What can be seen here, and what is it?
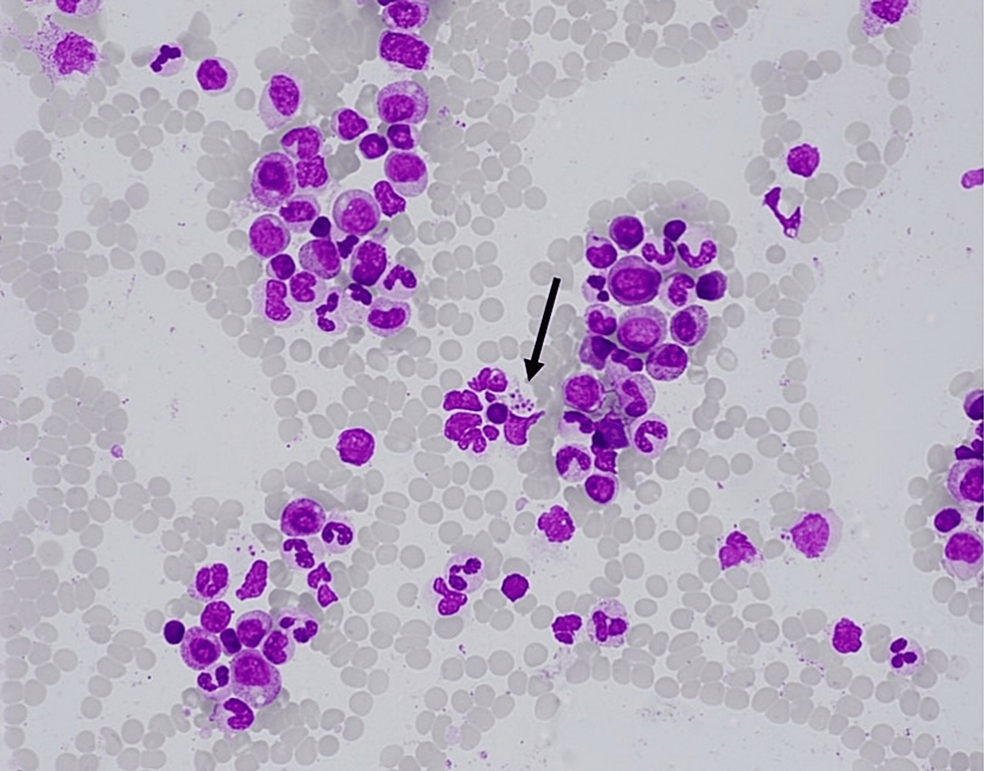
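A bone marrow aspirate smear shows clusters of nucleated marrow cells lying in a background of pale, closely packed red cells. The nucleated cells are a mix of larger cells with round to oval purple nuclei and bluish-grey cytoplasm, and cells with segmented or band-shaped dark purple nuclei. Scattered small cells have dense, round, dark nuclei. Near the centre, a cell contains small purple granules, taken to be engulfed platelets, within its pale cytoplasm.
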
